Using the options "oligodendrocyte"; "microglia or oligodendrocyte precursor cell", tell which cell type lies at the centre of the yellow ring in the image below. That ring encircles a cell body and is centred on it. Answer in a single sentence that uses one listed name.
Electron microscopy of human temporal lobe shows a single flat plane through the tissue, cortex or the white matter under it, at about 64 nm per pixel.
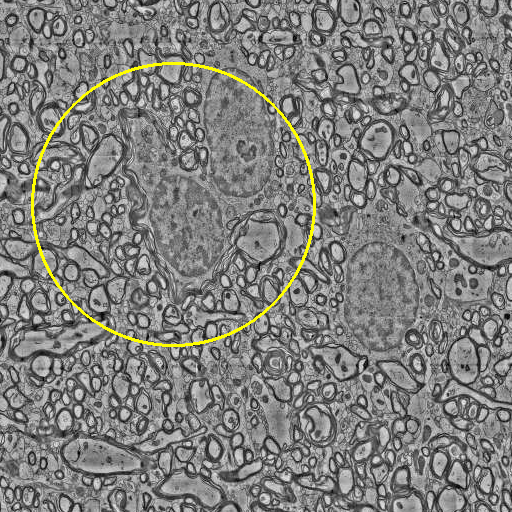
At the centre of the yellow ring lies the body of an oligodendrocyte.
